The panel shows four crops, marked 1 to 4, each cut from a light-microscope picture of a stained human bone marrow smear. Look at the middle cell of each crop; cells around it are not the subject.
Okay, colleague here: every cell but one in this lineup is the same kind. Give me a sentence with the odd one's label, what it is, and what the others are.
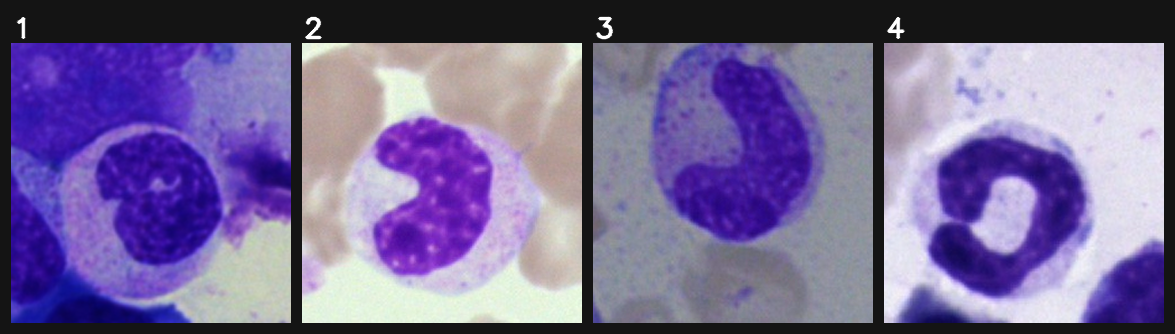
While crop 1 shows a segmented neutrophil, the other crops all show band neutrophils.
